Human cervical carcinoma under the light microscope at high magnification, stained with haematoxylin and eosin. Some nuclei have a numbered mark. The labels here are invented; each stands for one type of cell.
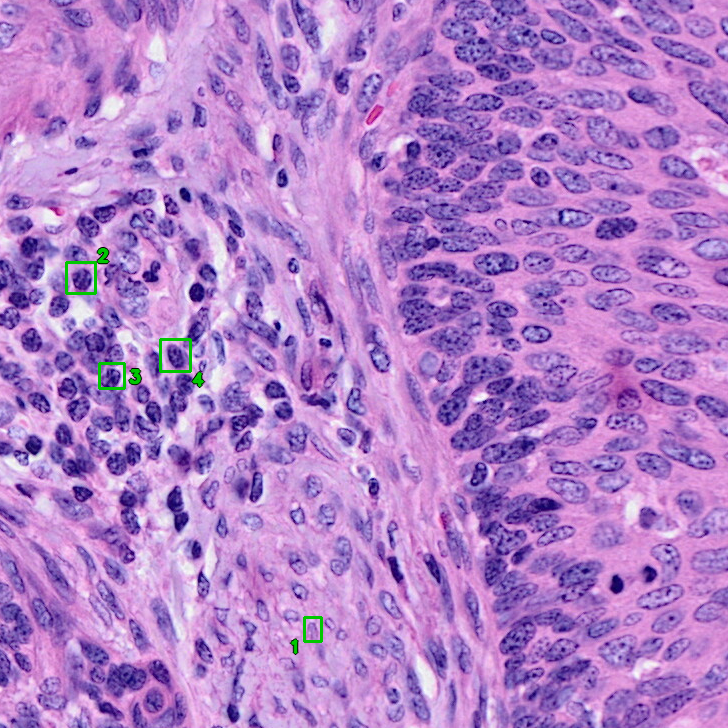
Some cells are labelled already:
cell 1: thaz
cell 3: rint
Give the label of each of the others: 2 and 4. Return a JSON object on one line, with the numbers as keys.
{"2": "rint", "4": "rint"}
